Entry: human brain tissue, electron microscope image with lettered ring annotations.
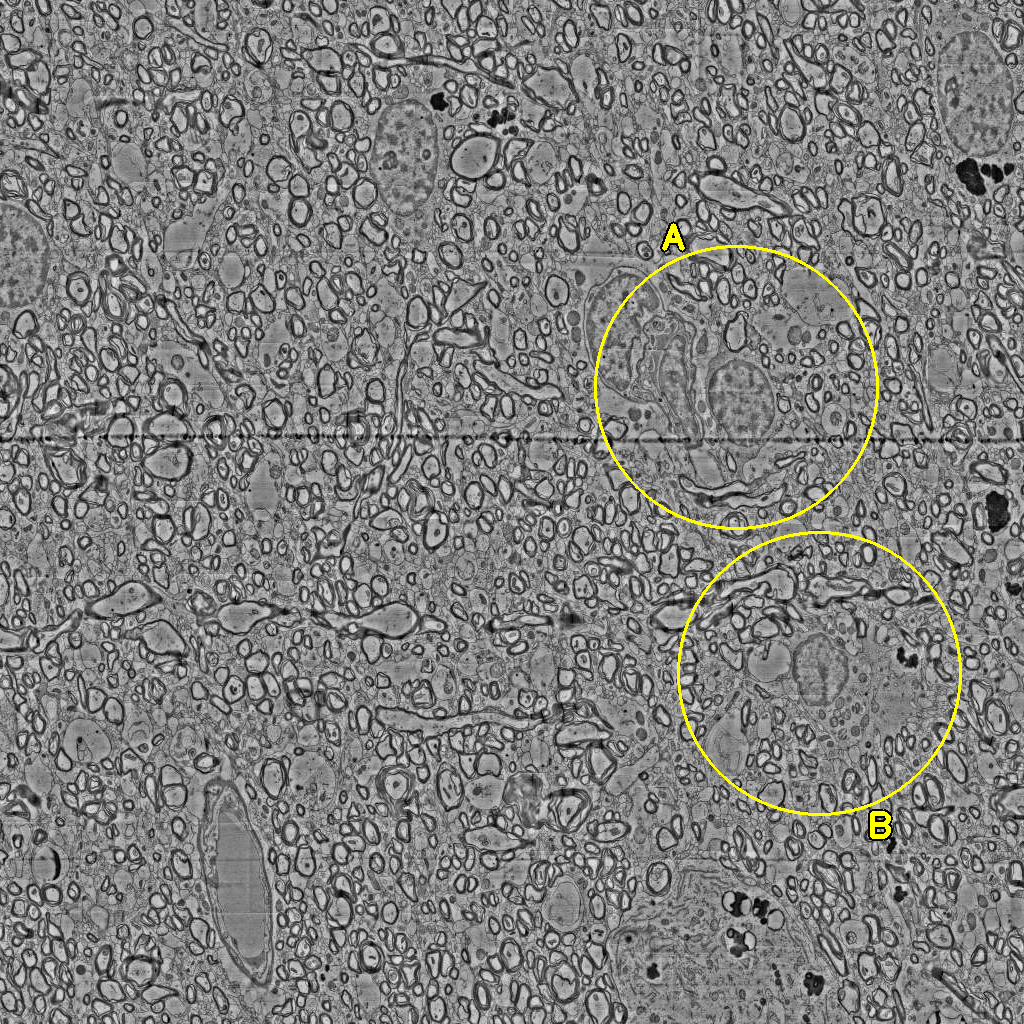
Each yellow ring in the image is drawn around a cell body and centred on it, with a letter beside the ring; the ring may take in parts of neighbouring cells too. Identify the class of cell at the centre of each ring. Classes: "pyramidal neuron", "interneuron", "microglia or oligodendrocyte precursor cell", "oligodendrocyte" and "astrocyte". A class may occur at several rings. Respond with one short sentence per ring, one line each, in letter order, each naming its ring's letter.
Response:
Ring A holds an oligodendrocyte at its centre.
Ring B holds an oligodendrocyte at its centre.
